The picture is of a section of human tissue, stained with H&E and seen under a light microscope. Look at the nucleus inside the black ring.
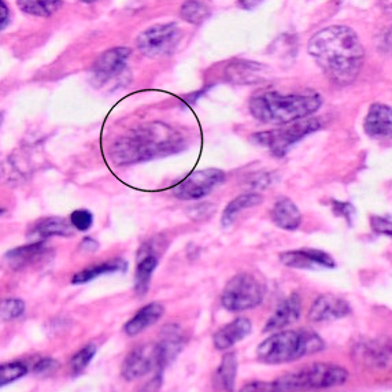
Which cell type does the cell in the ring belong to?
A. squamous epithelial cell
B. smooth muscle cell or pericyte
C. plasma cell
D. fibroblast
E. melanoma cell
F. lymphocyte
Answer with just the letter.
E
